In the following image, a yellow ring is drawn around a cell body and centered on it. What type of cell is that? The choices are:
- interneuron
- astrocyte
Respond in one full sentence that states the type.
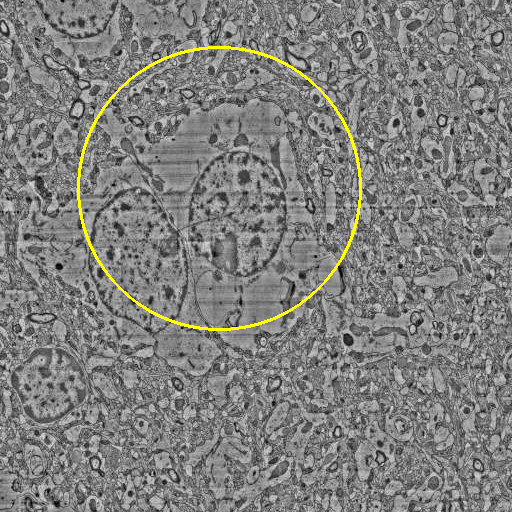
The cell at the center of the yellow ring in the image is an astrocyte.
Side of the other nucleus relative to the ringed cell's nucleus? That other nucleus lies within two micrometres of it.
That second nucleus is to the lower left of it.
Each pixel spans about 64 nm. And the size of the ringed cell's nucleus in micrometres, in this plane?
About 9 micrometres by about 6 micrometres in this plane.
